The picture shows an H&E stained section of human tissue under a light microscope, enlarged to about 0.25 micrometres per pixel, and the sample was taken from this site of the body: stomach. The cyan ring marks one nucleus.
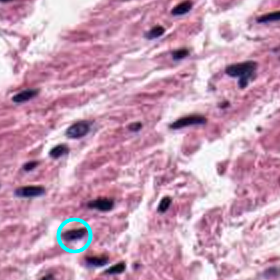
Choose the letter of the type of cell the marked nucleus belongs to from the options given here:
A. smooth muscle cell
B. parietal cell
A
